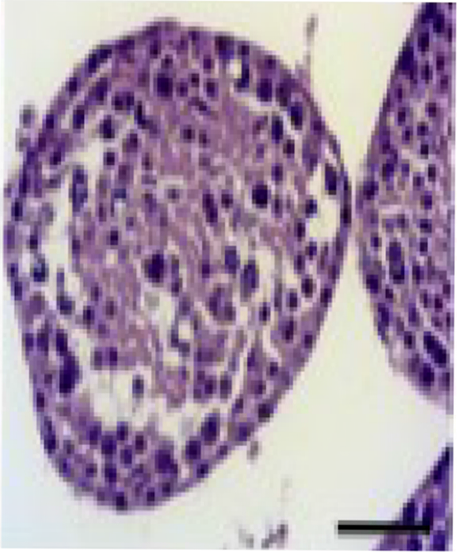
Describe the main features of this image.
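The epithelium looks loosened, with pale, empty spaces opening among the cells. The centre holds scattered cells and pale material rather than a tight bundle of sperm tails. Part of a neighbouring tubule is cut at the right edge.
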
